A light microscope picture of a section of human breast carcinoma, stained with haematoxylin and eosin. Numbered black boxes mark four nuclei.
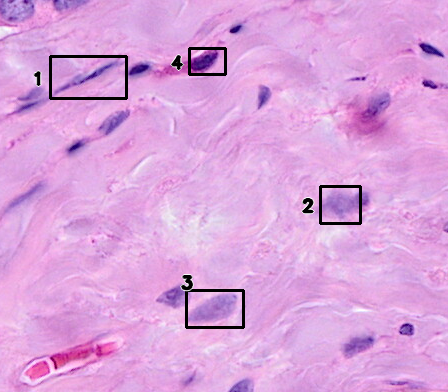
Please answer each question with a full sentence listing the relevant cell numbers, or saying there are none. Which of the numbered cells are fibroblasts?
The cells numbered 1, 2 and 3 are typed as fibroblasts.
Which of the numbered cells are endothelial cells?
Of the numbered cells, none are endothelial cells.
